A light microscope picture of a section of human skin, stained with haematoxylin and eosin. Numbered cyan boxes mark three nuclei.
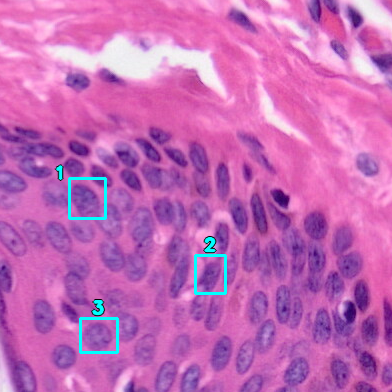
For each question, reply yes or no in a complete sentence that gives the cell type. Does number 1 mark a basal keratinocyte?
Yes, the one numbered 1 is a basal keratinocyte.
